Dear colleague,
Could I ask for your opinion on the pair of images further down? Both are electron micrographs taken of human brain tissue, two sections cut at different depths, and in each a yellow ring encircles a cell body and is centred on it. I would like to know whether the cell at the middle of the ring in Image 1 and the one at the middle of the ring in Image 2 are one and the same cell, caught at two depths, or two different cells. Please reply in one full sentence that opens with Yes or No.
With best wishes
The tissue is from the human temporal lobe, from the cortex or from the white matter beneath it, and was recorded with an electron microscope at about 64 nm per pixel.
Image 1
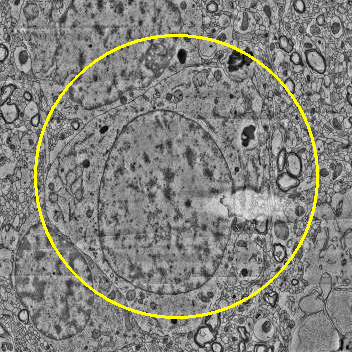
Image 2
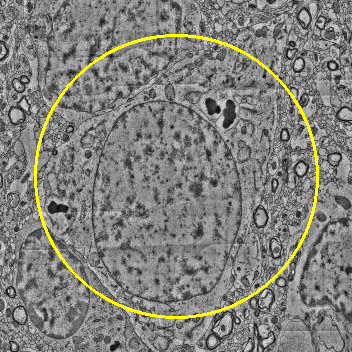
Yes, the marked cell is the same in both rings.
